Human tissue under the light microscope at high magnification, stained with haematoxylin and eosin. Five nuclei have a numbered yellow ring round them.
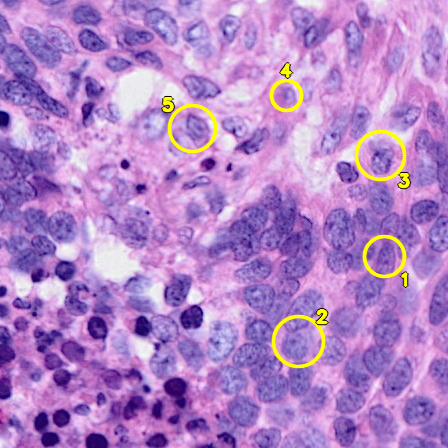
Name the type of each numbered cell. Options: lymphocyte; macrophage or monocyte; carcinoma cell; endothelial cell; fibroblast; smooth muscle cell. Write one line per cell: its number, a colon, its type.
1: carcinoma cell
2: carcinoma cell
3: macrophage or monocyte
4: fibroblast
5: fibroblast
